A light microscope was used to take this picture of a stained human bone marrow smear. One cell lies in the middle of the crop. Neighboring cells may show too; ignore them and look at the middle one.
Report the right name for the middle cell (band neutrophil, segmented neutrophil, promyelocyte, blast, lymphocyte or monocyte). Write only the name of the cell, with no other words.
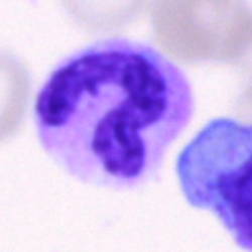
band neutrophil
